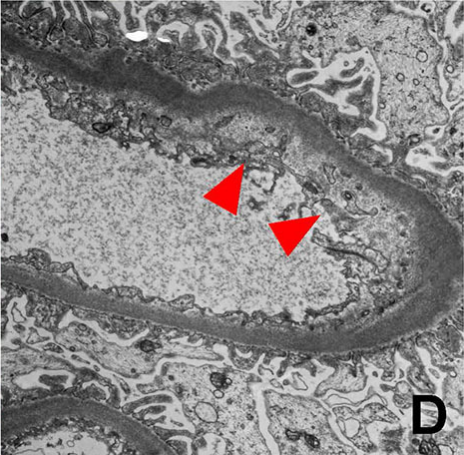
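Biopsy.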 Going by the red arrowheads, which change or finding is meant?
subendothelial widening by electron lucent material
